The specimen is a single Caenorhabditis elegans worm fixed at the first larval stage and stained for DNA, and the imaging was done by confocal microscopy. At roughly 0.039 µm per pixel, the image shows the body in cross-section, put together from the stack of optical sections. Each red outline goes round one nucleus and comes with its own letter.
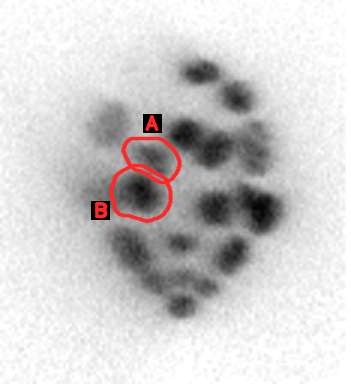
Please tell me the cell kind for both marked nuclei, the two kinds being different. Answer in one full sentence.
A belongs to a pharyngeal gland cell and B to a neuron.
